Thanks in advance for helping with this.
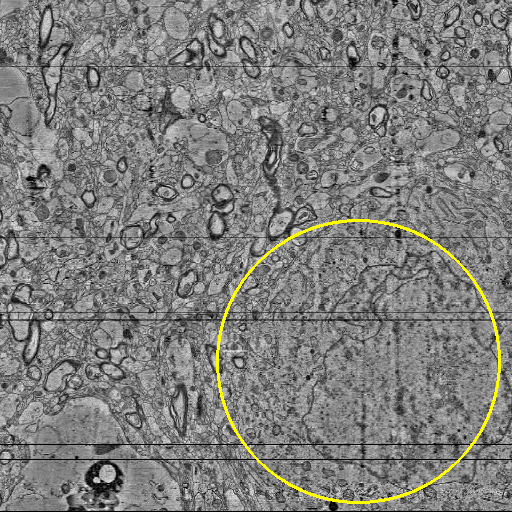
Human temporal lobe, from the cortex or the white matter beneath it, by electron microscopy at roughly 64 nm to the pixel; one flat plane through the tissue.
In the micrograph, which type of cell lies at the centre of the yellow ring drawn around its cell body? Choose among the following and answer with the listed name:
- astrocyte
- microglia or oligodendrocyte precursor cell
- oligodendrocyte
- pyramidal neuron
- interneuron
pyramidal neuron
